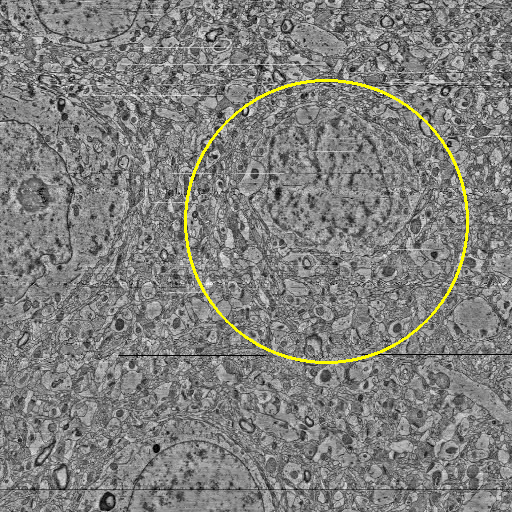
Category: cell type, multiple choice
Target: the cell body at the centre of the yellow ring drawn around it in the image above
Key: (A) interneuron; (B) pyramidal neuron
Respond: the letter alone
A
